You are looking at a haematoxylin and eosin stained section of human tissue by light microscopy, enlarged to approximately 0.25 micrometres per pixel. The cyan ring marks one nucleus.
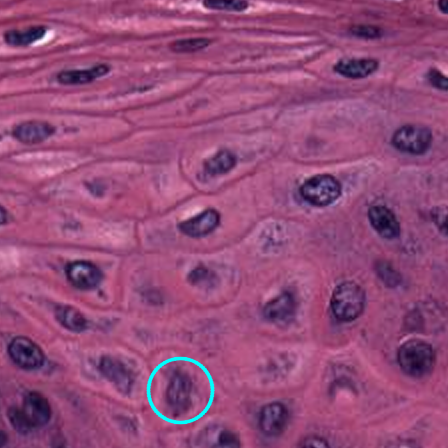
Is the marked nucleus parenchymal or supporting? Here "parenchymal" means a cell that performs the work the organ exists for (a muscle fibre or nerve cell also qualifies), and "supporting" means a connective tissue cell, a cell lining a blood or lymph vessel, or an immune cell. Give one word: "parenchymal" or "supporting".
parenchymal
